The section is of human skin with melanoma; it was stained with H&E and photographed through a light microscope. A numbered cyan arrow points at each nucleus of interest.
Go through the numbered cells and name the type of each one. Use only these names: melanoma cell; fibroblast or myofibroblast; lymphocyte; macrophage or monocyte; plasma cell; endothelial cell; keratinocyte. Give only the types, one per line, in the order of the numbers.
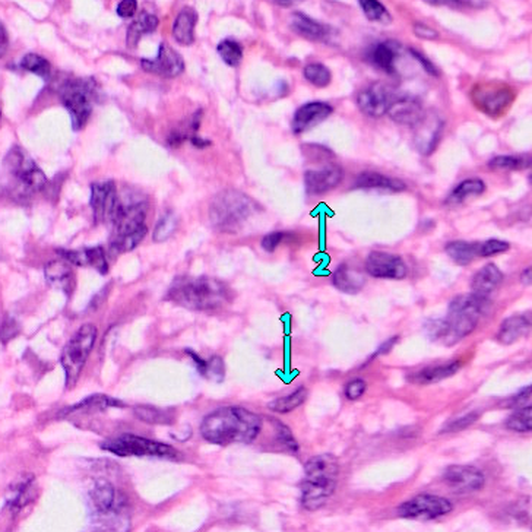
macrophage or monocyte
melanoma cell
